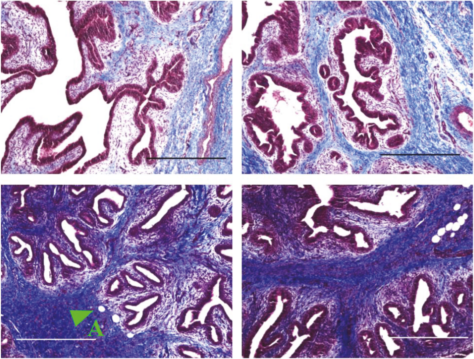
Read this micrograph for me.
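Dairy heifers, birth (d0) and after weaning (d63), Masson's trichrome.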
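These are four views of mammary parenchyma in which duct-like epithelial structures, stained purple-red, lie embedded in blue connective tissue. In the upper pair the epithelial structures have wide, irregular, folded lumens and the surrounding stroma is paler and looser. In the lower pair the epithelial profiles are smaller and more numerous, with narrow branching lumens, and the surrounding stroma is a denser, deeper blue. A few small round clear spaces, the fat cells, sit within the stroma of the lower views.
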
